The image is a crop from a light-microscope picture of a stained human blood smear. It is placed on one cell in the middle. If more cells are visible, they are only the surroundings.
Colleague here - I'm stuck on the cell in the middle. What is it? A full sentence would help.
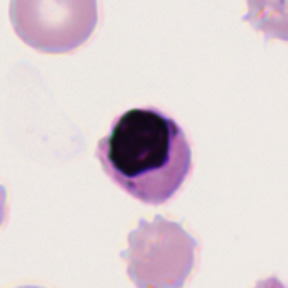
Located at the centre of the crop is a normoblast.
